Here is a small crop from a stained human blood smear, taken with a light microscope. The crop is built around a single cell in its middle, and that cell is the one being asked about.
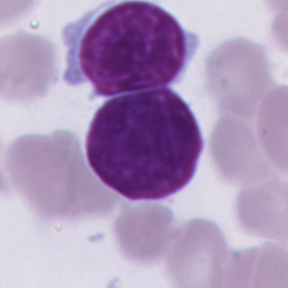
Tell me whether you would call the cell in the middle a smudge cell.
no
